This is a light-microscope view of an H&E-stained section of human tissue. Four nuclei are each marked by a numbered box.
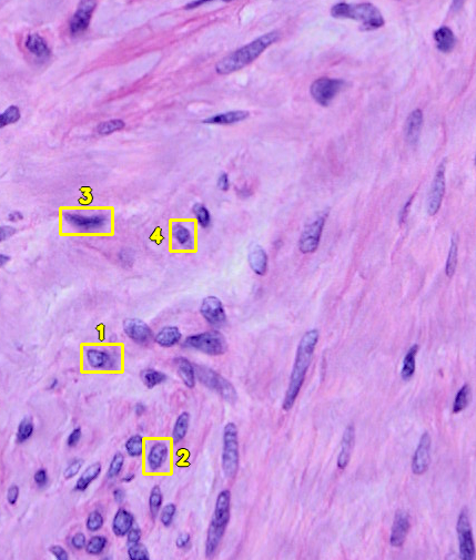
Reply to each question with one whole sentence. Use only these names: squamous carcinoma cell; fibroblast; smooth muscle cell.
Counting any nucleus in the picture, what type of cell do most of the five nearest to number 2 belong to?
The majority of the five nuclei closest to number 2 belong to smooth muscle cells.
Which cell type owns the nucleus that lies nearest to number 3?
It is a smooth muscle cell whose nucleus is nearest to number 3.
